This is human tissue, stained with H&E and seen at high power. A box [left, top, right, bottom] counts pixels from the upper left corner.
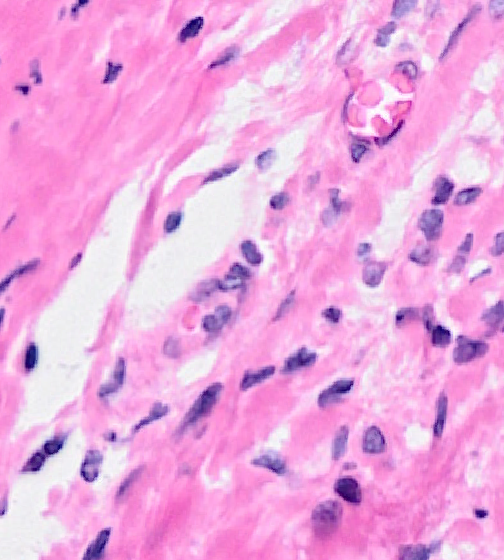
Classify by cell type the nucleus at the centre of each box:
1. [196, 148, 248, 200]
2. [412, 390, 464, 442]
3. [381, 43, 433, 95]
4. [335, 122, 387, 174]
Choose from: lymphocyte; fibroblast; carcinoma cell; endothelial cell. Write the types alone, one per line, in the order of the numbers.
fibroblast
fibroblast
endothelial cell
endothelial cell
